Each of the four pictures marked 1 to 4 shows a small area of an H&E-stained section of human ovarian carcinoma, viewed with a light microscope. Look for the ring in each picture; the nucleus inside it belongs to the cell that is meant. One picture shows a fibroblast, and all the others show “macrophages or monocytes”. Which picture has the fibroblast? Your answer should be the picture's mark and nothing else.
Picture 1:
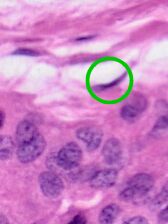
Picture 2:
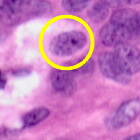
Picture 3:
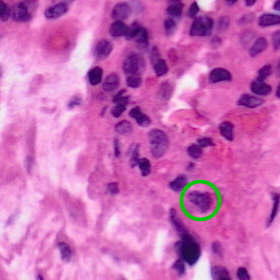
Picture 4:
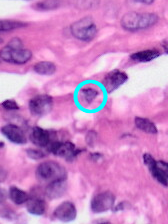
1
